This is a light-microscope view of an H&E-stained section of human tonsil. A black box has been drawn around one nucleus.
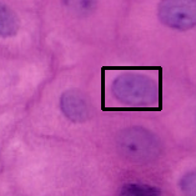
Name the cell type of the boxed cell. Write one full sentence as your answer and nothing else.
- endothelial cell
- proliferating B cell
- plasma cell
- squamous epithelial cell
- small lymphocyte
Cell type answer for this item: the boxed cell is a squamous epithelial cell.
